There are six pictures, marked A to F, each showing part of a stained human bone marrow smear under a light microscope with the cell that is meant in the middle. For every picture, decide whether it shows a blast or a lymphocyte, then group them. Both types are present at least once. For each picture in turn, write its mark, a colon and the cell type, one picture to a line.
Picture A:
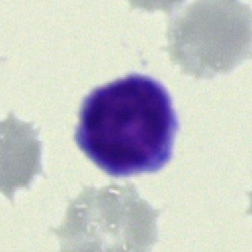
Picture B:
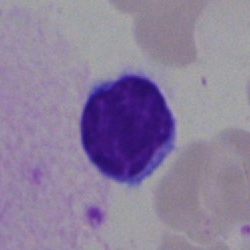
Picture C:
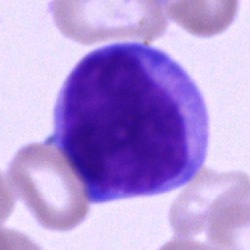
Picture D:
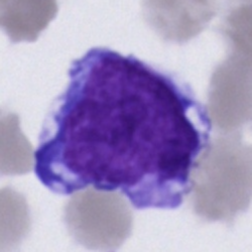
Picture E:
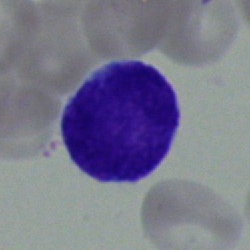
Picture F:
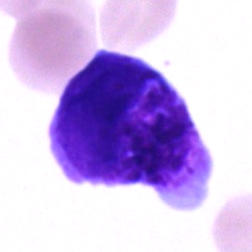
A: lymphocyte
B: lymphocyte
C: blast
D: blast
E: blast
F: blast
